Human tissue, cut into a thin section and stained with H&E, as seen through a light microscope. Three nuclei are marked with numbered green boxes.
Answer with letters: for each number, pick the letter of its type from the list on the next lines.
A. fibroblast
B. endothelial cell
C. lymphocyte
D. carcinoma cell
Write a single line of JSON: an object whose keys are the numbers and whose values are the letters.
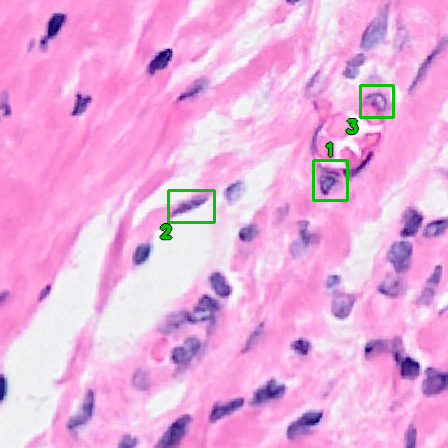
{"1": "B", "2": "A", "3": "B"}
